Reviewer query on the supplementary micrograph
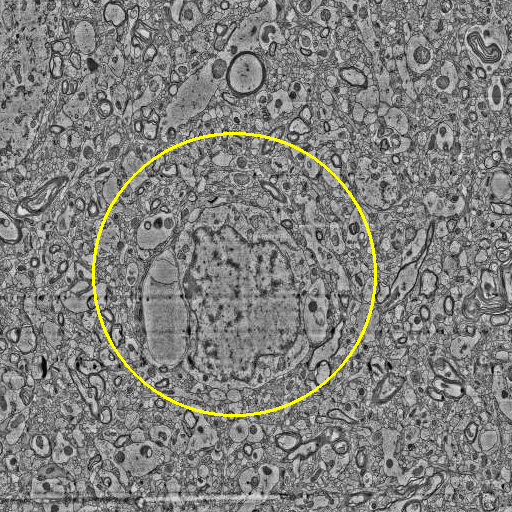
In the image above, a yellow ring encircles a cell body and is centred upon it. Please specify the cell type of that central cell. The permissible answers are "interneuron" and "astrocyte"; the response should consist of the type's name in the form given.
interneuron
